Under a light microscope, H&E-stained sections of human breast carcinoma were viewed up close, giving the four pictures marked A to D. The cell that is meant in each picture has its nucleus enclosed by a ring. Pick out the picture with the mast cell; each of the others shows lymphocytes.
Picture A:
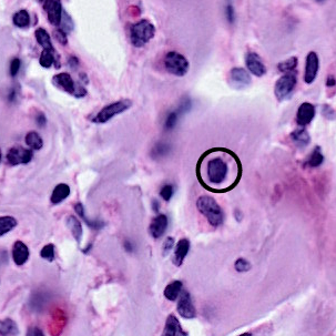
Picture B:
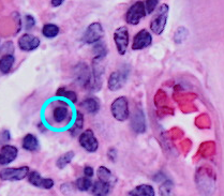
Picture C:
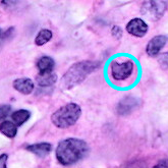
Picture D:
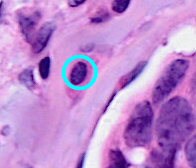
D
